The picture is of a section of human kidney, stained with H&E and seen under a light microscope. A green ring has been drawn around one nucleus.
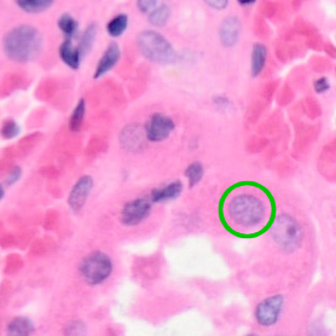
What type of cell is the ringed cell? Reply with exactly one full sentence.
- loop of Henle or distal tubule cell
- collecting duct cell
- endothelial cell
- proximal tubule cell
Placed in its cell category, the ringed cell is a proximal tubule cell.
